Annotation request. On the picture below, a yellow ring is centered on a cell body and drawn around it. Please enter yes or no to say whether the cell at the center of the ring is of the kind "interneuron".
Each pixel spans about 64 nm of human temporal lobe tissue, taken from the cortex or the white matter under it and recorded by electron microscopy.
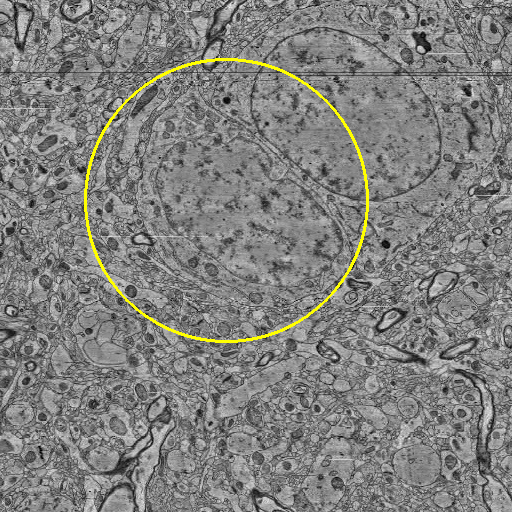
yes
